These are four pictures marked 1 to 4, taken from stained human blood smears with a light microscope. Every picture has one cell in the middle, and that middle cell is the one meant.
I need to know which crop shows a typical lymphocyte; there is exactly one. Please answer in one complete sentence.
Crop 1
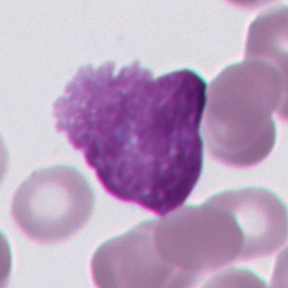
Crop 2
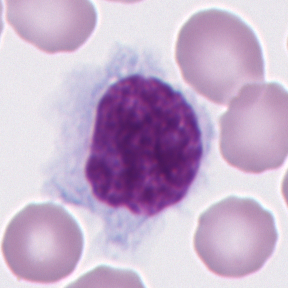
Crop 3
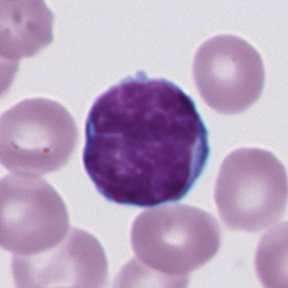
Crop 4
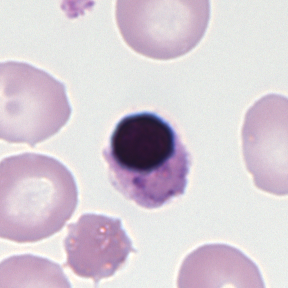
Crop 3 is the single crop that shows a typical lymphocyte.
